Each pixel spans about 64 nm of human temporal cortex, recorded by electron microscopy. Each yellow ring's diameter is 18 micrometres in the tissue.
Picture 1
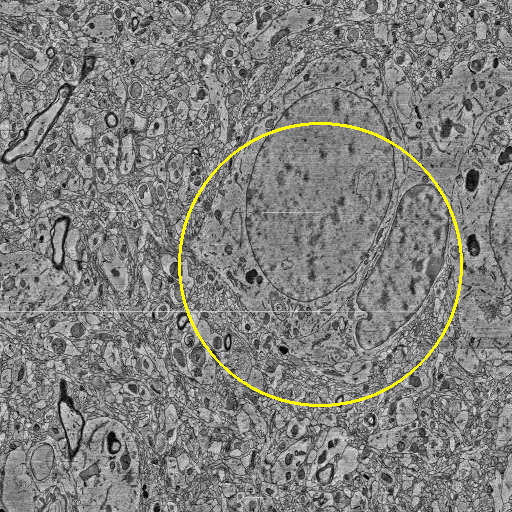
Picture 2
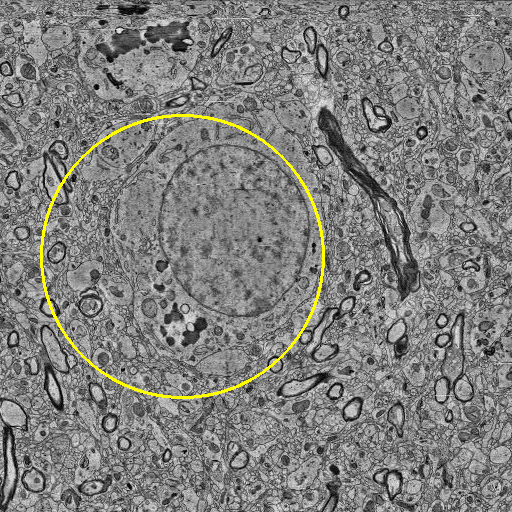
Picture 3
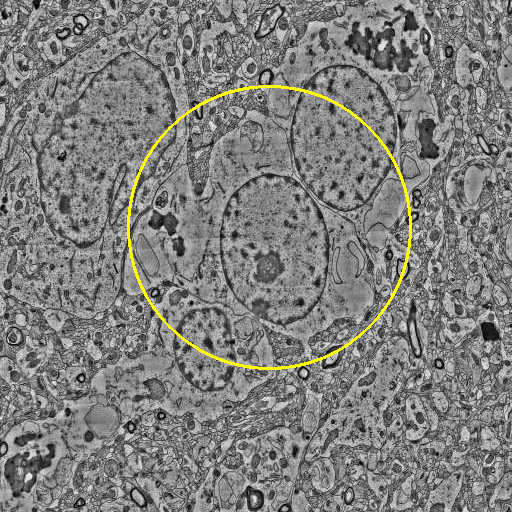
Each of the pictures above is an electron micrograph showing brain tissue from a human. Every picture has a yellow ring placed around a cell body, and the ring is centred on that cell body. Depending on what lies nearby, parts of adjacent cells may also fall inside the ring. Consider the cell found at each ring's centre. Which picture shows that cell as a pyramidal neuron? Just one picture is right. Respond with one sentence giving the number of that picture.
The picture showing the wanted cell at the ring's centre is number 1.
